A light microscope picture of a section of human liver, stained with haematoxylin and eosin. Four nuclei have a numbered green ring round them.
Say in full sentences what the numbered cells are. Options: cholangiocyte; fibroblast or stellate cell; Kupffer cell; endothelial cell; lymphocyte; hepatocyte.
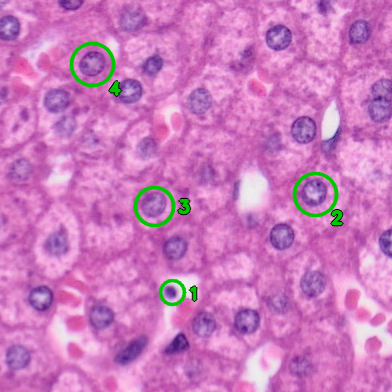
Cell 1 is a lymphocyte, cell 2 is a hepatocyte, cell 3 is a hepatocyte and cell 4 is a hepatocyte.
